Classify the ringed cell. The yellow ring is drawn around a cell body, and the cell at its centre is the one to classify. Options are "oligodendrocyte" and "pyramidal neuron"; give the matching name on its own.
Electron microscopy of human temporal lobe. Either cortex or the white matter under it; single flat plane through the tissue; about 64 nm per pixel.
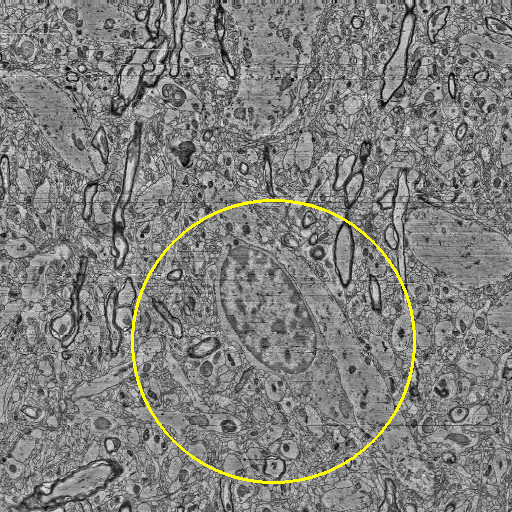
oligodendrocyte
